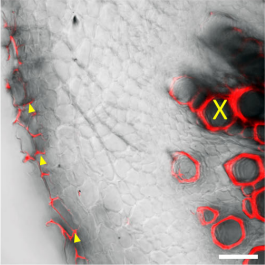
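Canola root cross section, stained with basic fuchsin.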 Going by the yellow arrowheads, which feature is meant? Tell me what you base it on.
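Anticlinal cell walls of exodermis. The arrowheads point to red-stained walls in the outer cell layer at the left edge of the section.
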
